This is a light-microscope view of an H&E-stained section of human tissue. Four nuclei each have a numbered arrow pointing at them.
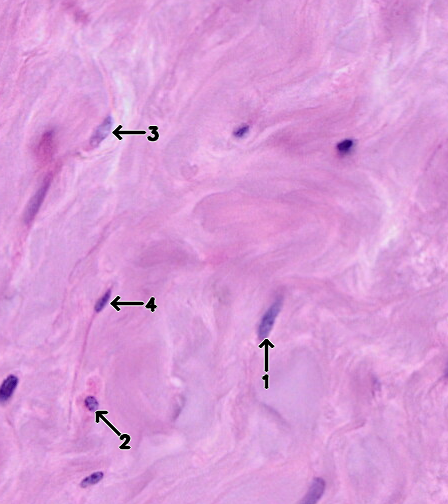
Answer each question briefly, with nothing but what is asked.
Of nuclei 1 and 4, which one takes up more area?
1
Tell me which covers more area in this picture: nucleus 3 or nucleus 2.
3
